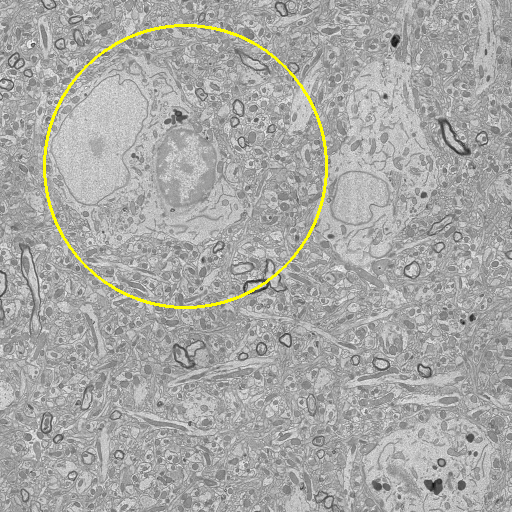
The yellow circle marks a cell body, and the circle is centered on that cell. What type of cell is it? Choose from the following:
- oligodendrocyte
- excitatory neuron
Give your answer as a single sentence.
This cell body belongs to an oligodendrocyte.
